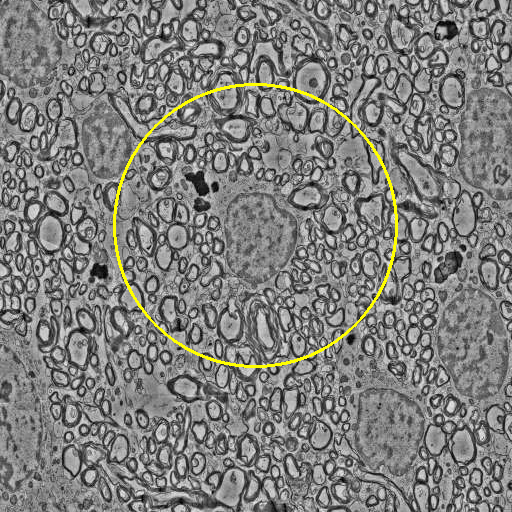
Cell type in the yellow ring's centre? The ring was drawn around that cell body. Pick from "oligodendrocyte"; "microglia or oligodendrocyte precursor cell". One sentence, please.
The ringed cell body is that of an oligodendrocyte.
